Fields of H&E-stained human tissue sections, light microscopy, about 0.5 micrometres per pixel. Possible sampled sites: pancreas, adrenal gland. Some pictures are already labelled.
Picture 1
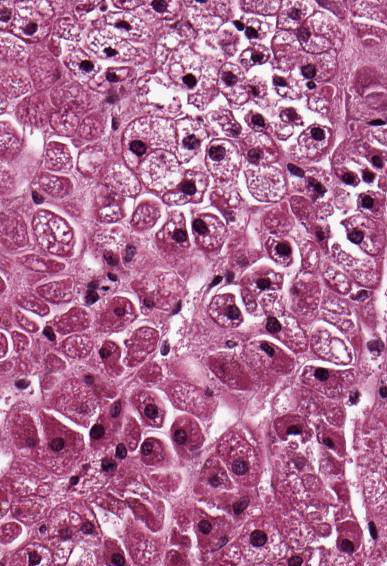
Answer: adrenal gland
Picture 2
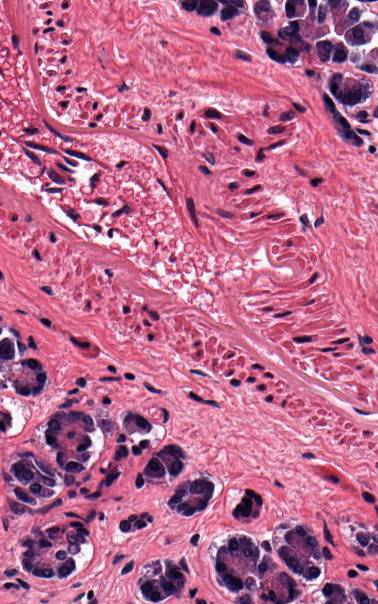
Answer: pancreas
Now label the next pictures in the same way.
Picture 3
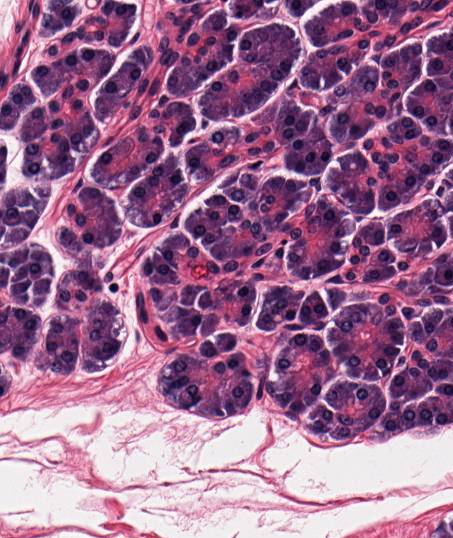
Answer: pancreas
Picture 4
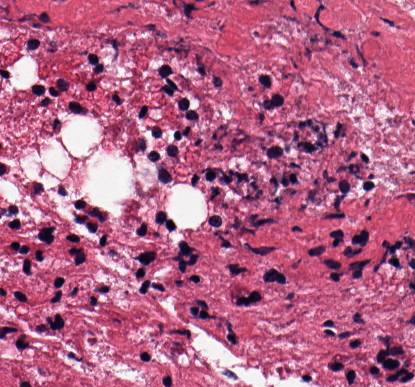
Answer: adrenal gland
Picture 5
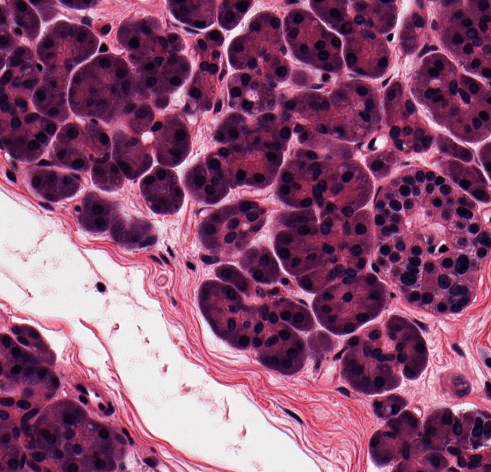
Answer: pancreas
